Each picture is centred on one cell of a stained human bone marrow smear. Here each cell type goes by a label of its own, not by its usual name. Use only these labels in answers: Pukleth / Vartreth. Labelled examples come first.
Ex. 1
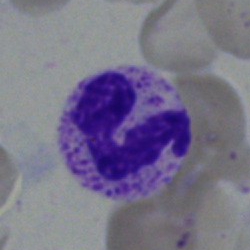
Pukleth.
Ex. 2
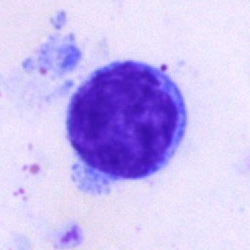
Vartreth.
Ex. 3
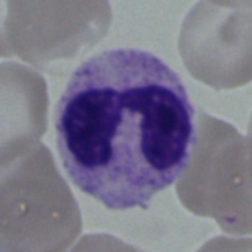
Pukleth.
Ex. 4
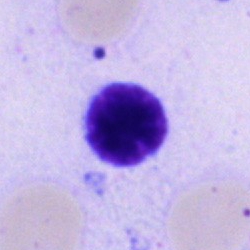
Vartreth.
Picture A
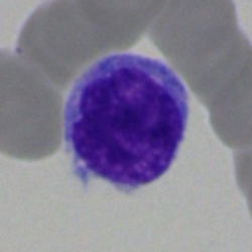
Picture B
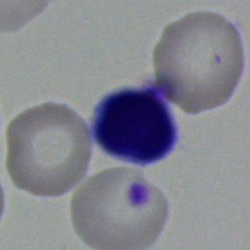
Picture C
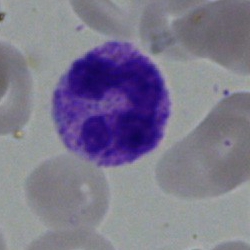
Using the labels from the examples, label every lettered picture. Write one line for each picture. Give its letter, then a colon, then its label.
A: Vartreth.
B: Vartreth.
C: Pukleth.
